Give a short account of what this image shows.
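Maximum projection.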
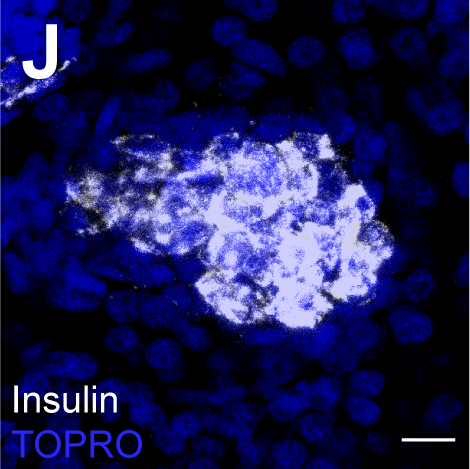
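The cluster is bright white, with the cytoplasm of the packed cells filled by granular white stain, while their blue nuclei show through as rounded dark-blue patches within it. The cells are closely apposed with no obvious lumen between them.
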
